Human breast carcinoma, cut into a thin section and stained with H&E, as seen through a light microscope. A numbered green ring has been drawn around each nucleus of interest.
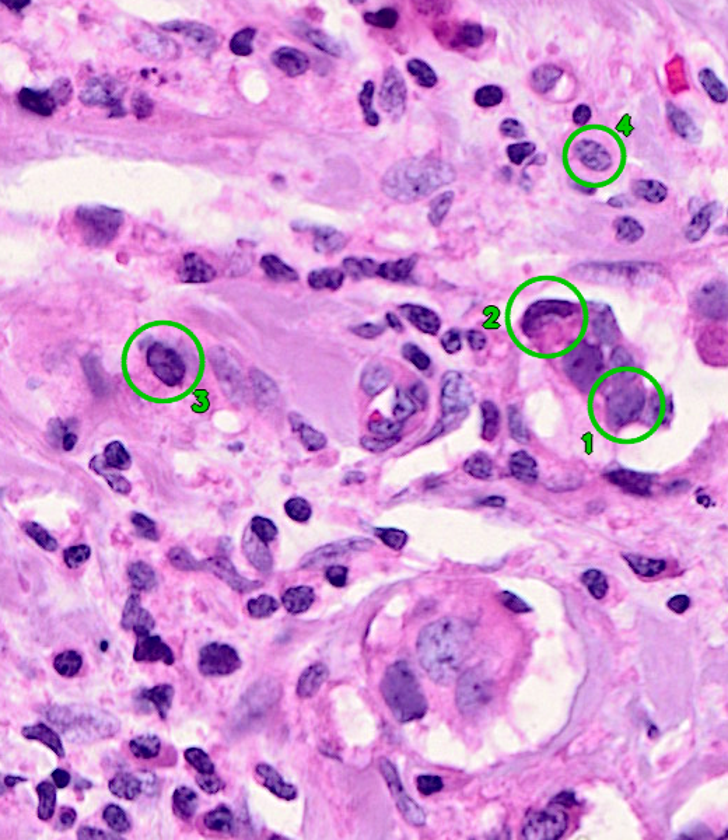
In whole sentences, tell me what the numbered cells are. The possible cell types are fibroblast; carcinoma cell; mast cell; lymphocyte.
Cell 1 is a carcinoma cell, cell 2 is a carcinoma cell, cell 3 is a carcinoma cell and cell 4 is a mast cell.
